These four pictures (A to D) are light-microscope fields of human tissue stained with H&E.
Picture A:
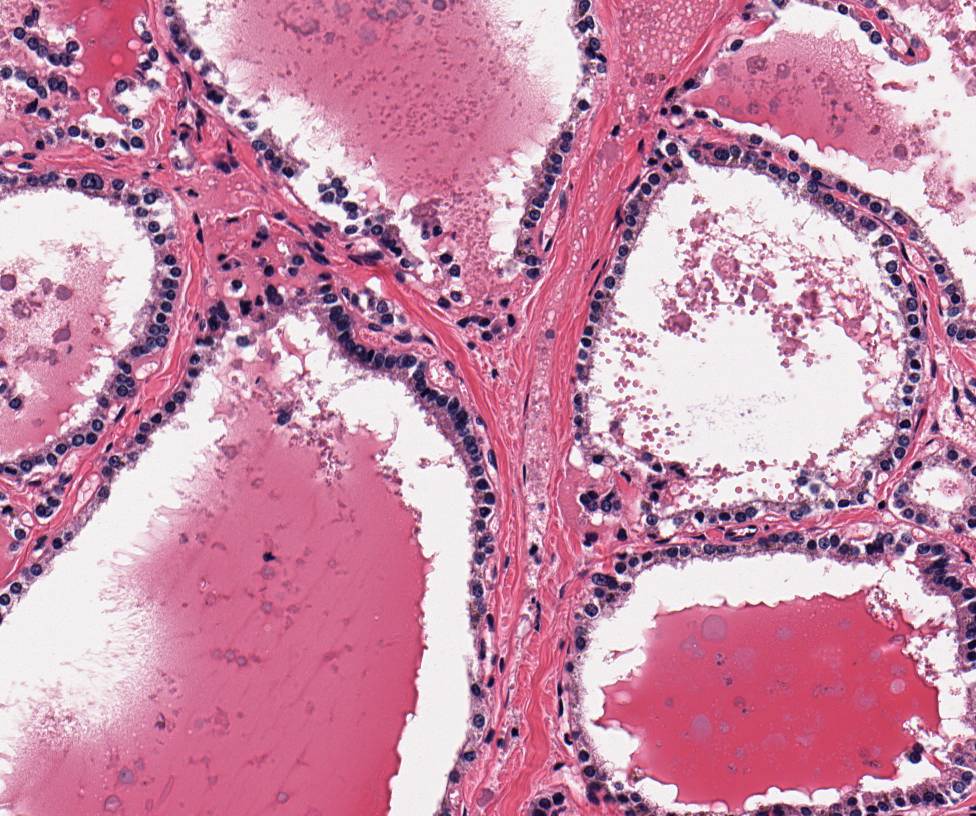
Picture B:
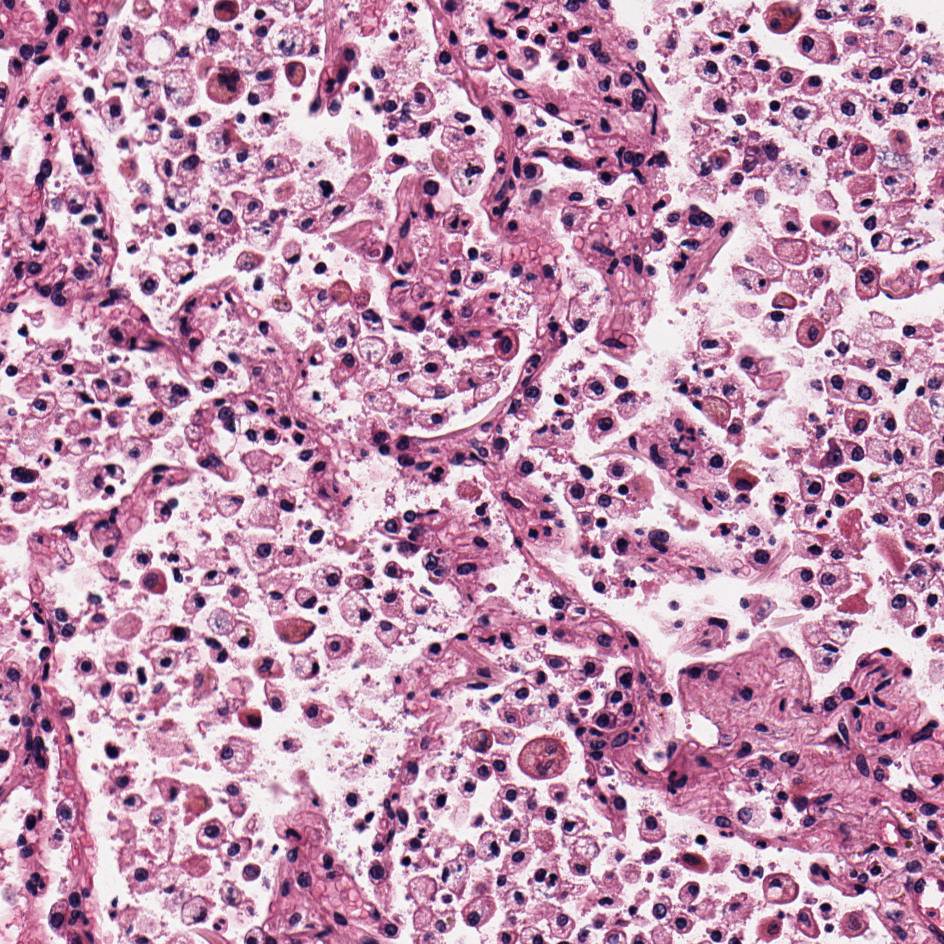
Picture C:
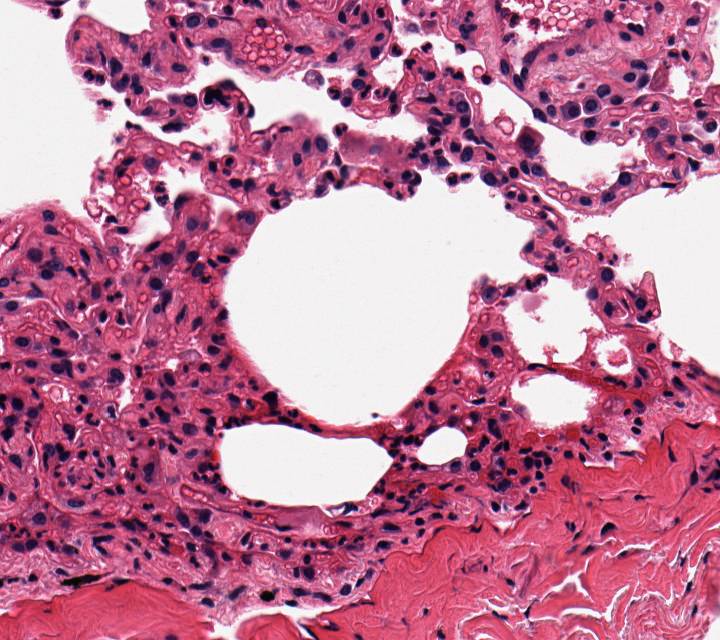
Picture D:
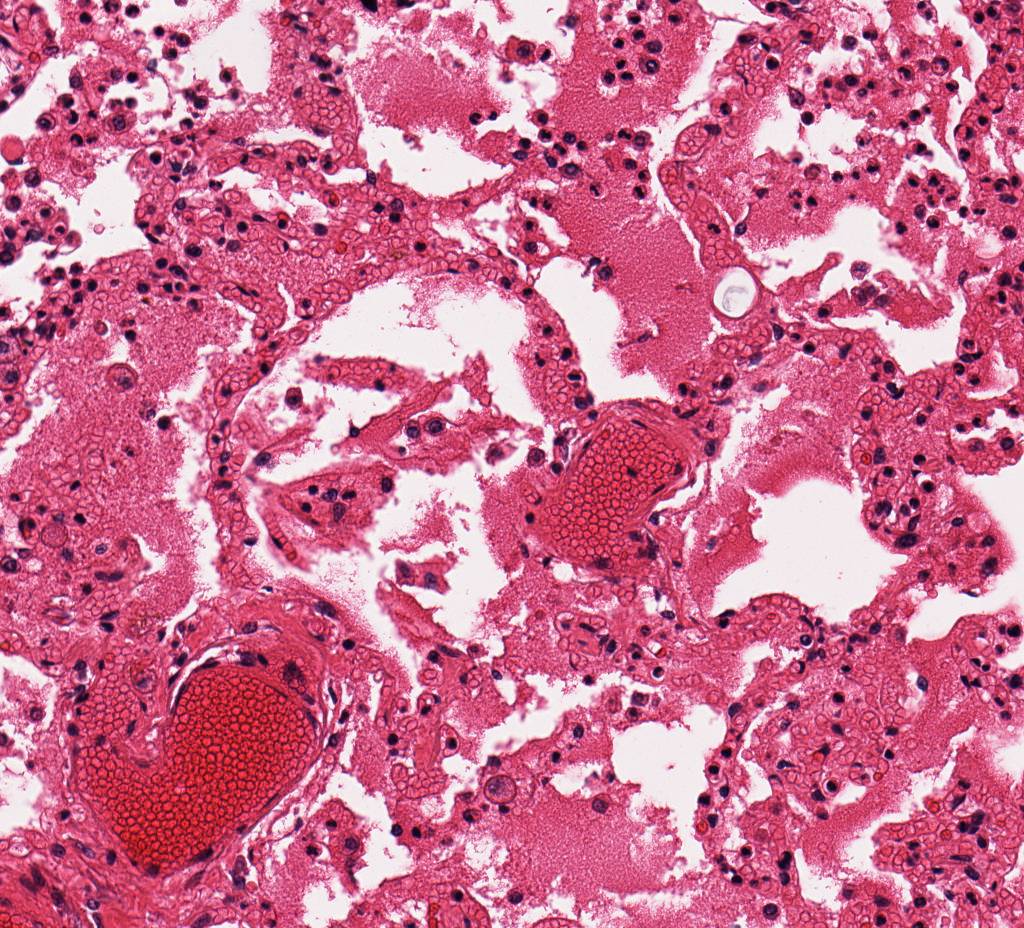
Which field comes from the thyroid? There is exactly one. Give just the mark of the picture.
A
